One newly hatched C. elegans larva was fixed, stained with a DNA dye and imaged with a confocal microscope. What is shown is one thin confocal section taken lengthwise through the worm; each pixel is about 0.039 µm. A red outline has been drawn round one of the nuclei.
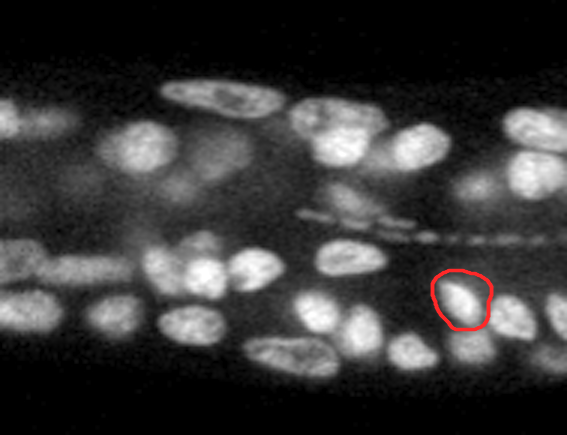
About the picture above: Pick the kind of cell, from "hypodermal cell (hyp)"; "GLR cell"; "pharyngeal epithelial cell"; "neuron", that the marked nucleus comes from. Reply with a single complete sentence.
This nucleus is from a GLR cell.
